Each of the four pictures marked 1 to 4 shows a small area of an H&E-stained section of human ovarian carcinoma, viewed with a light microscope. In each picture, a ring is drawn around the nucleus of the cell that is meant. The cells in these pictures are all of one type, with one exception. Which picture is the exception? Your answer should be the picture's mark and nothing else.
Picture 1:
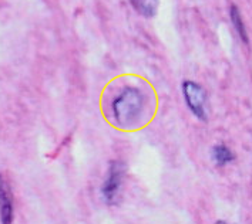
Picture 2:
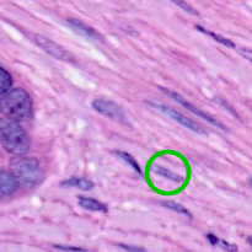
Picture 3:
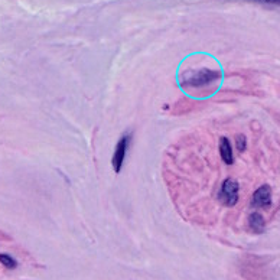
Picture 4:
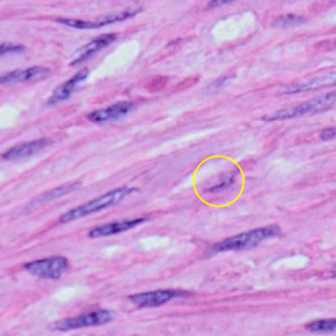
3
